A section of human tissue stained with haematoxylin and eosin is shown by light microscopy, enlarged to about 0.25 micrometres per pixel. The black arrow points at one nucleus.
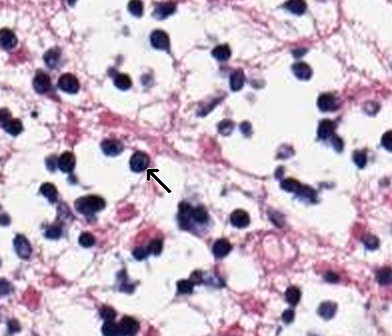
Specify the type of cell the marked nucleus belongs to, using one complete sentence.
Within a cerebellar granule cell lies the marked nucleus.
